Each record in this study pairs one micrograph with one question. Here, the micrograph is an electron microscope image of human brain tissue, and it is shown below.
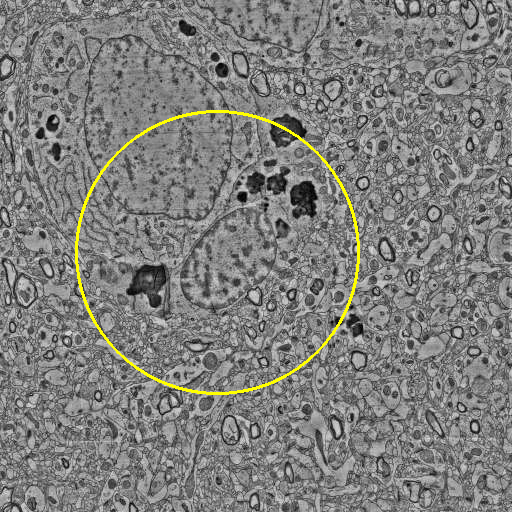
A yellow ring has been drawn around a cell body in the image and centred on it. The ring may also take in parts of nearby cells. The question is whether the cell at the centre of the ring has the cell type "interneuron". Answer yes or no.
no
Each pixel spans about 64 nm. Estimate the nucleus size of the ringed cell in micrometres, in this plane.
The nucleus has a long axis of about 7 micrometres and a short axis of about 5 micrometres in this plane.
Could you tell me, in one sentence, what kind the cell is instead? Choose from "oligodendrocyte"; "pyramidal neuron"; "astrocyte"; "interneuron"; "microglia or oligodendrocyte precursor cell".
The cell circled by the yellow ring is an oligodendrocyte.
